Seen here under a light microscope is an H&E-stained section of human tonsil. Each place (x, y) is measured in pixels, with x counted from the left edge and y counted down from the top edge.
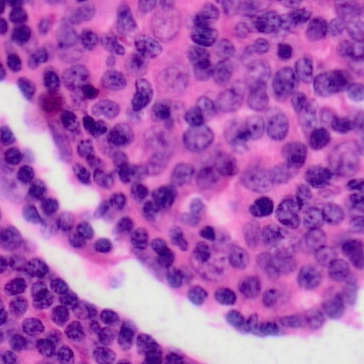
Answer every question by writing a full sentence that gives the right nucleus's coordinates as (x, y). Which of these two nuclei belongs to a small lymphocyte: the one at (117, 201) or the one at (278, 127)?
The nucleus that belongs to a small lymphocyte is located at (117, 201).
